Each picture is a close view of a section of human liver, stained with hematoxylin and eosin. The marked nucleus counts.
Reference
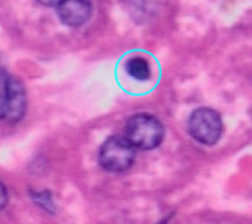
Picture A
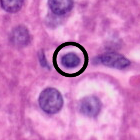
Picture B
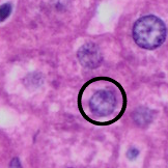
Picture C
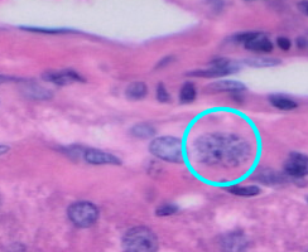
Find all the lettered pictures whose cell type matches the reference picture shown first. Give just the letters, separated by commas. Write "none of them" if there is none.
A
